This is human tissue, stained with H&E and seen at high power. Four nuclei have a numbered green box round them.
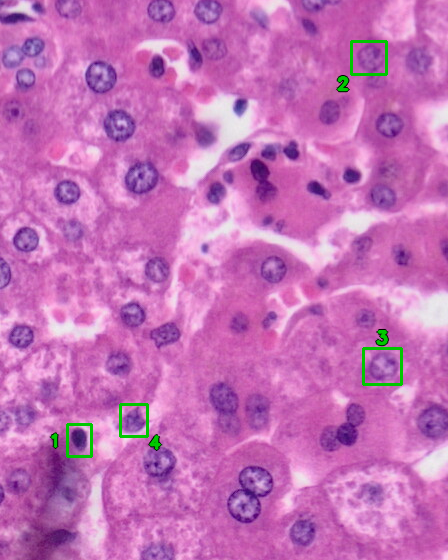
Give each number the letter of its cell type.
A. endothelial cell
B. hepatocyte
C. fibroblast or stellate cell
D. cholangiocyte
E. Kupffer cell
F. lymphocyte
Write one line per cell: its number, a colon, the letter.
1: F
2: B
3: B
4: E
